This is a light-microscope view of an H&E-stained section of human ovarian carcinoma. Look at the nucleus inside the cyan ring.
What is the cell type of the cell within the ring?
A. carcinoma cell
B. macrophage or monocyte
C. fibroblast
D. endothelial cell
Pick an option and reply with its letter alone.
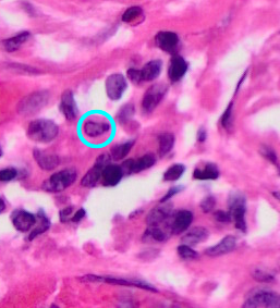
B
